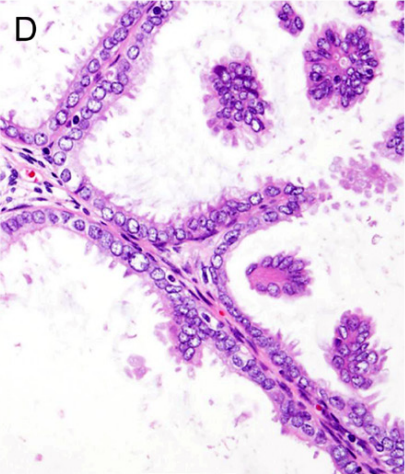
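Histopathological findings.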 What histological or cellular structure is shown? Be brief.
fibrovascular stromal cores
